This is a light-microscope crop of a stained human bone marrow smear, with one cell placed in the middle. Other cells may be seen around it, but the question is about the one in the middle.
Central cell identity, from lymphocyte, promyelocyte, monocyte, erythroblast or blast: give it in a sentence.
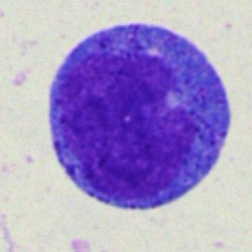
In the crop, the cell of interest at the centre is a promyelocyte.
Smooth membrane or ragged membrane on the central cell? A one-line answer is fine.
Its outline is smooth, with no projections anywhere along the edge.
